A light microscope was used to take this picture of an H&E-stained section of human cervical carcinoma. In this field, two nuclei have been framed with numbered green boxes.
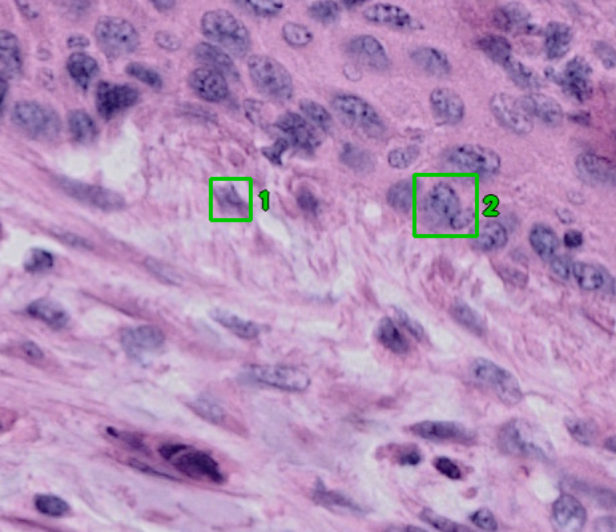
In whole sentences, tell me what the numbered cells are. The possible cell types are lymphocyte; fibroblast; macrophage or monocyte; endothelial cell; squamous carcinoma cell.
Cell 1 is a fibroblast and cell 2 is a squamous carcinoma cell.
